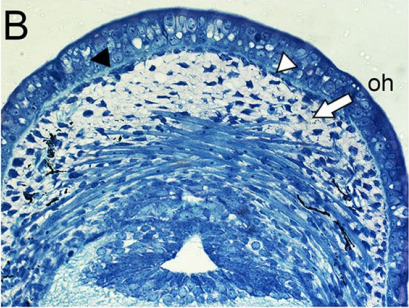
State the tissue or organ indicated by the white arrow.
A: mucocartilage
